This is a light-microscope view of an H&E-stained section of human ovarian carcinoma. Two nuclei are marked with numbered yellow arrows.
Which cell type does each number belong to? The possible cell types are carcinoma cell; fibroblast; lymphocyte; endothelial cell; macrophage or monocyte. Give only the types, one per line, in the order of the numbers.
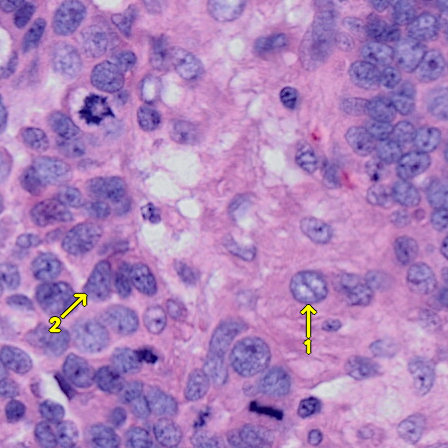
fibroblast
carcinoma cell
